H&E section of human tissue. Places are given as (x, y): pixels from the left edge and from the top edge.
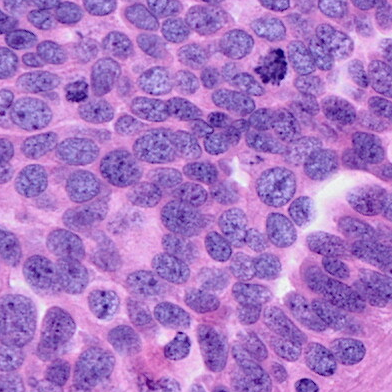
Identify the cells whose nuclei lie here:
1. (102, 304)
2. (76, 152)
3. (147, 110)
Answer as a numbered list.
1. macrophage or monocyte
2. carcinoma cell
3. carcinoma cell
